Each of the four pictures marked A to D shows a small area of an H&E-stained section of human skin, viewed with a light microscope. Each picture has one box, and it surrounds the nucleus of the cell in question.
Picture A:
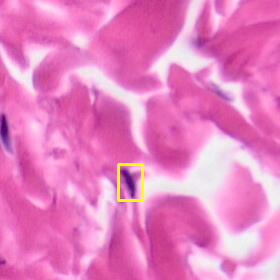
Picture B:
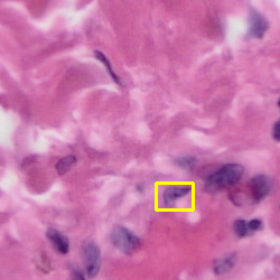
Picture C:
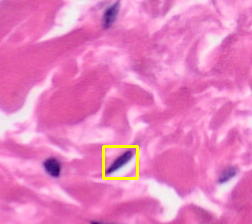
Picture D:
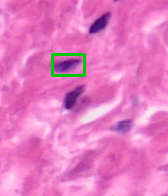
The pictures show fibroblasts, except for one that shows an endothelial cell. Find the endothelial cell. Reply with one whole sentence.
Picture B shows the endothelial cell.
